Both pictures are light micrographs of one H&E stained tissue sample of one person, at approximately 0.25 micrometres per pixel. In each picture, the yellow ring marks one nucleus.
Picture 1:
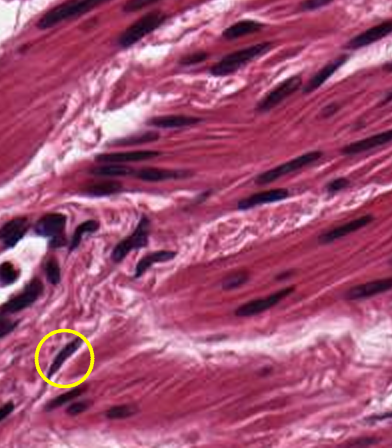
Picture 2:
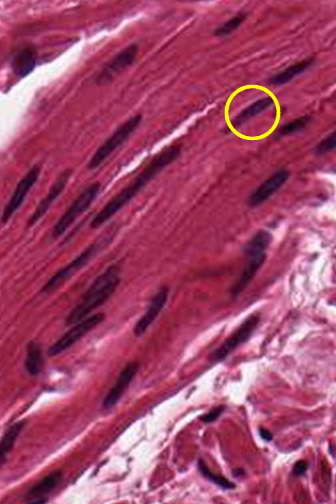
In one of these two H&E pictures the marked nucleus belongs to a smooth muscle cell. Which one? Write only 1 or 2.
2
